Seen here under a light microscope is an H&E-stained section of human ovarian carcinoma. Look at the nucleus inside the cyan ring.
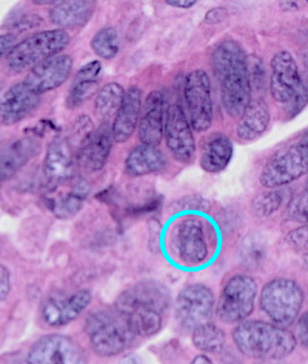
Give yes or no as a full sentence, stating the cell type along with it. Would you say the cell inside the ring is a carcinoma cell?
Yes, it is accurate to say that the cell inside the ring is a carcinoma cell.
